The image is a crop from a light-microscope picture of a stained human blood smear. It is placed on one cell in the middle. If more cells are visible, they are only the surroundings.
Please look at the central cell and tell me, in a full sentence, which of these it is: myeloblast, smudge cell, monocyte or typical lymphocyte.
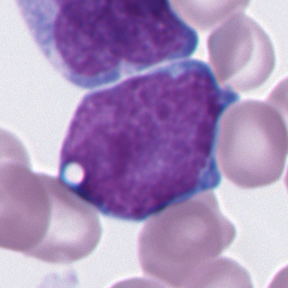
Here the cell in the middle is a myeloblast.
